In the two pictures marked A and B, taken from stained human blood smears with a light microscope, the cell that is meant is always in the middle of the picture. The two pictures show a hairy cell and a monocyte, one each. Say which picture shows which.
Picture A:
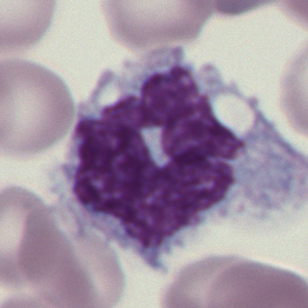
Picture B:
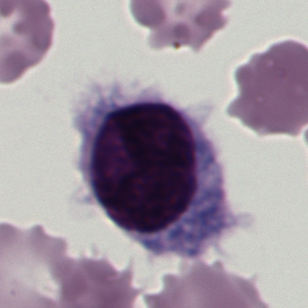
A: monocyte
B: hairy cell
